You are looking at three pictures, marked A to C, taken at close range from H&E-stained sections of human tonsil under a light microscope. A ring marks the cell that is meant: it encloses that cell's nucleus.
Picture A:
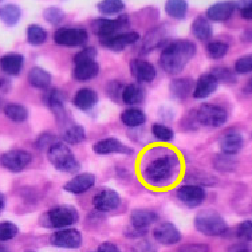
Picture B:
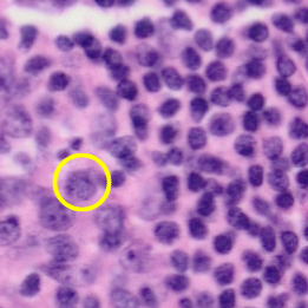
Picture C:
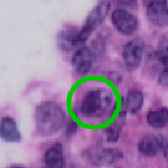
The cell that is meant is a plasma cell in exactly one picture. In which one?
A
